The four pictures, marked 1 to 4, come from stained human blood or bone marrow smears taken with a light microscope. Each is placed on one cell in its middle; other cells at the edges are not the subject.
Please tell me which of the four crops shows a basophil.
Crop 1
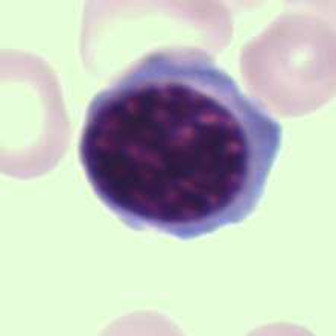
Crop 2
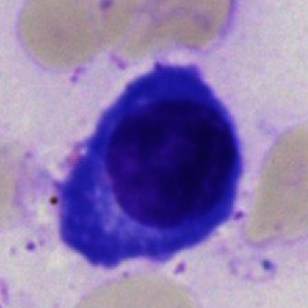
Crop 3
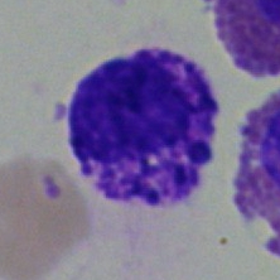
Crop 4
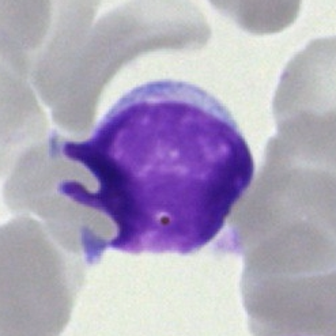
3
